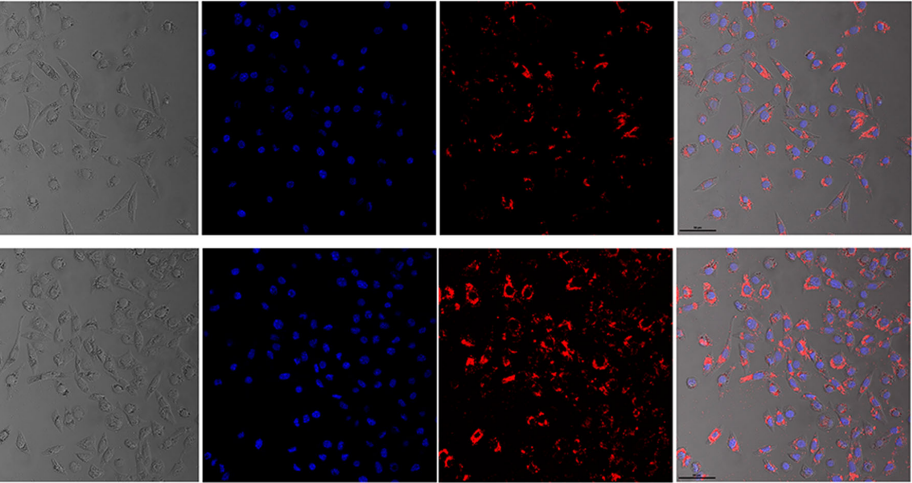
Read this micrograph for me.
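Two rows of four images show scattered adherent cells in culture, seen in bright field, in blue, in red and overlaid. In the lower row the red deposits are more abundant and brighter than in the upper row.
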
